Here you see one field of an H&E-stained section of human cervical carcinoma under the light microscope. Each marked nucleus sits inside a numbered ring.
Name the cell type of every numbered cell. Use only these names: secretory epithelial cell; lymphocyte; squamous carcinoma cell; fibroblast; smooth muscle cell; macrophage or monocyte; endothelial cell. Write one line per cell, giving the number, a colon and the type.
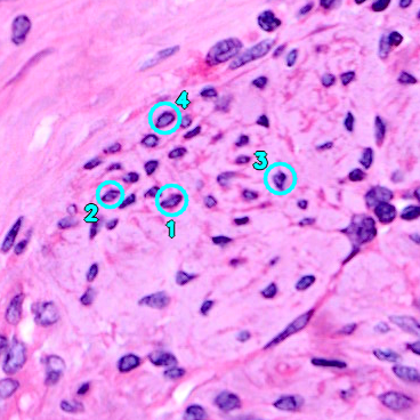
1: smooth muscle cell
2: smooth muscle cell
3: fibroblast
4: smooth muscle cell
